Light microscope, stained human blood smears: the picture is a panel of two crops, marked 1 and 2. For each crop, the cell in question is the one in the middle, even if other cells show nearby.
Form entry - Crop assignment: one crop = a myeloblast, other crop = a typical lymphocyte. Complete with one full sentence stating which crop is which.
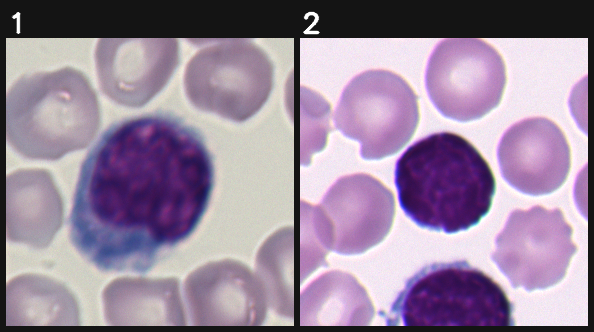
Crop 1 and crop 2 are a myeloblast and a typical lymphocyte, in that order.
